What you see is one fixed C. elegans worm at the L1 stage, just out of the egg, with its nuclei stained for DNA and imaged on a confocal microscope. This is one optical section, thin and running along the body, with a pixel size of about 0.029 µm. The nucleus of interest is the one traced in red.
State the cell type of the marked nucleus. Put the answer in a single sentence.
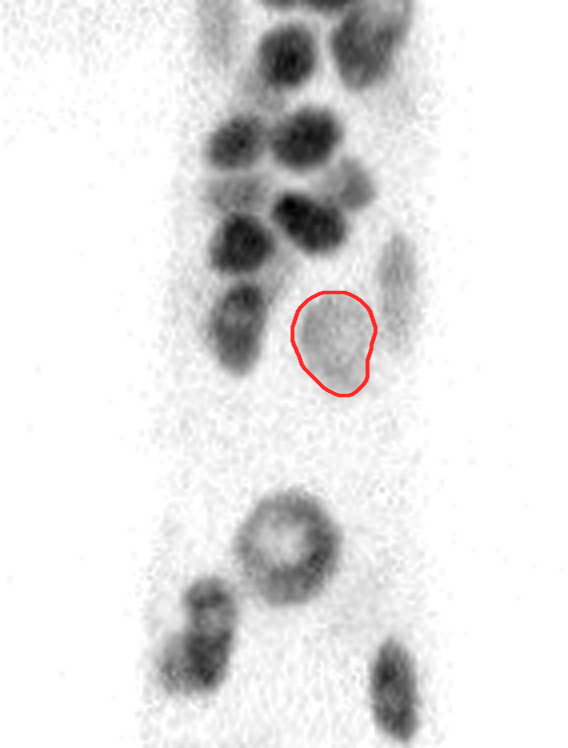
What is marked is the nucleus of an intestinal cell.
